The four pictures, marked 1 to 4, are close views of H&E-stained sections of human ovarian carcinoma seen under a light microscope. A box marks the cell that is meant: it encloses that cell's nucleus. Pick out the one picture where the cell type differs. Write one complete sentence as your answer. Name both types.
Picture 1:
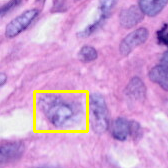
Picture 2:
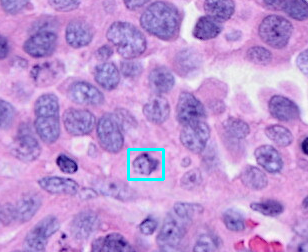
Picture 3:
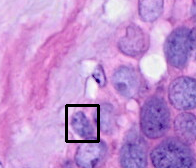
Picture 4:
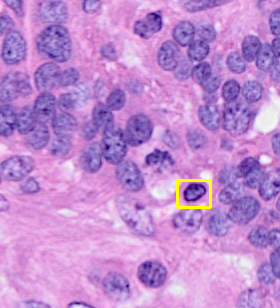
Unlike the rest, which show “macrophages or monocytes”, picture 1 shows a fibroblast.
